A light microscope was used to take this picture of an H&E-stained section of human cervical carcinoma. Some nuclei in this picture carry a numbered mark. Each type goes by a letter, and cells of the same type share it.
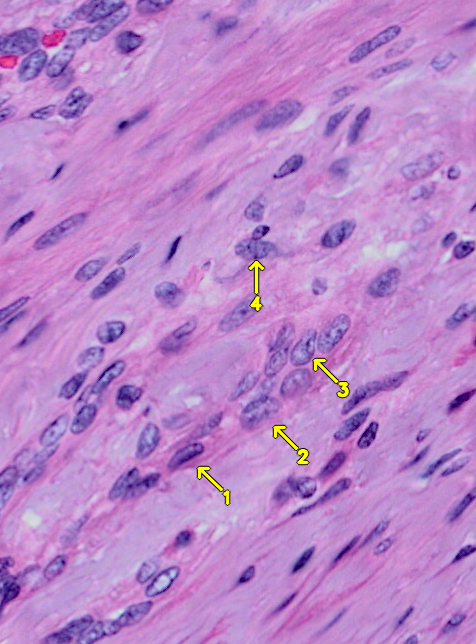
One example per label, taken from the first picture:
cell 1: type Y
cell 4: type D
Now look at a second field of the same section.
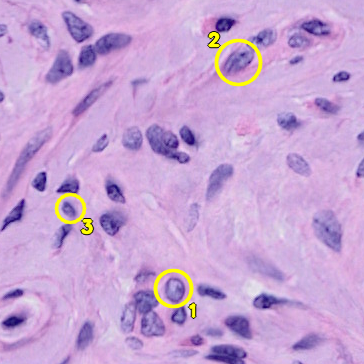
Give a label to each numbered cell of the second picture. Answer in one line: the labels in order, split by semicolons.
type Y; type Y; type D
